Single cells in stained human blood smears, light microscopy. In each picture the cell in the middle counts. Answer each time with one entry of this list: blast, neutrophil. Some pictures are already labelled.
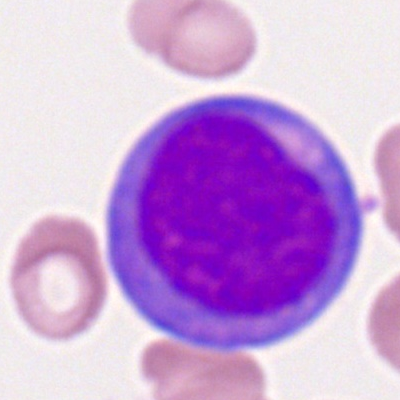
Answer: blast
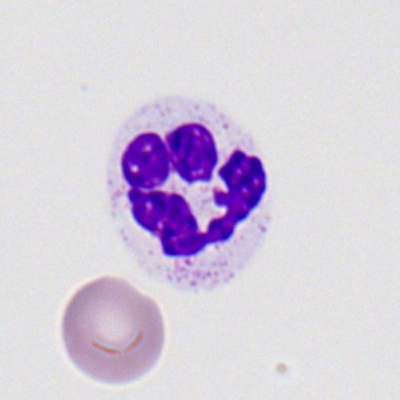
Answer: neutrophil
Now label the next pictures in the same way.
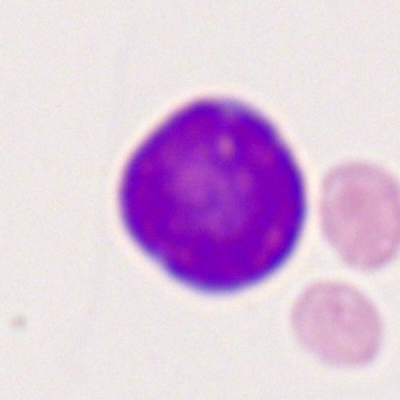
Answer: blast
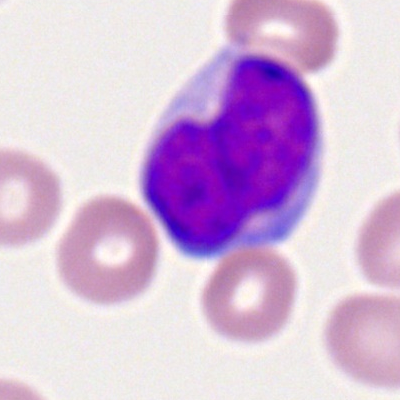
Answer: blast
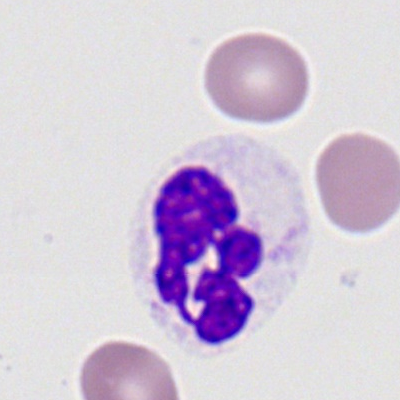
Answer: neutrophil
